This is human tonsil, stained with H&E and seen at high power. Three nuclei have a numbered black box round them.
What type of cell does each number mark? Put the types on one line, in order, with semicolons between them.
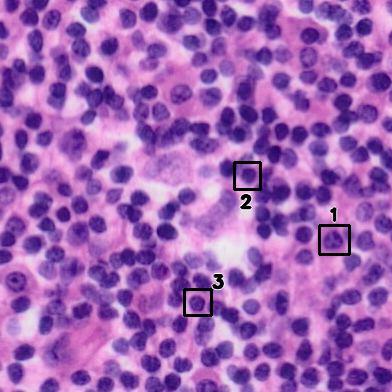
plasma cell; small lymphocyte; small lymphocyte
